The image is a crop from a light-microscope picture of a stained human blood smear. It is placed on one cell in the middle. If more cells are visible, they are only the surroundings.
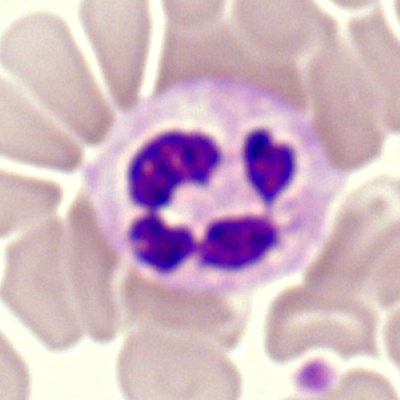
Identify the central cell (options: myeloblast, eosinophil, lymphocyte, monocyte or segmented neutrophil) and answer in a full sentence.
The cell in the middle of the field of view is a segmented neutrophil.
